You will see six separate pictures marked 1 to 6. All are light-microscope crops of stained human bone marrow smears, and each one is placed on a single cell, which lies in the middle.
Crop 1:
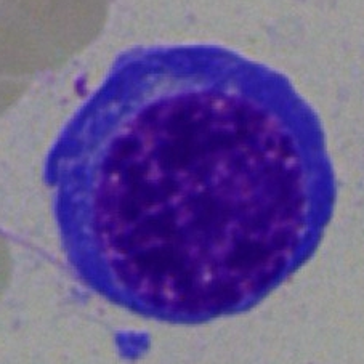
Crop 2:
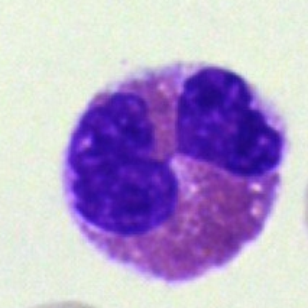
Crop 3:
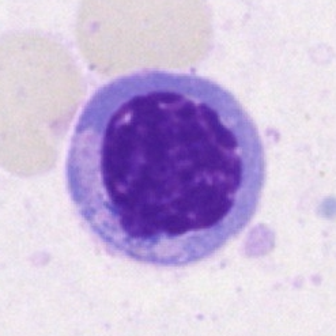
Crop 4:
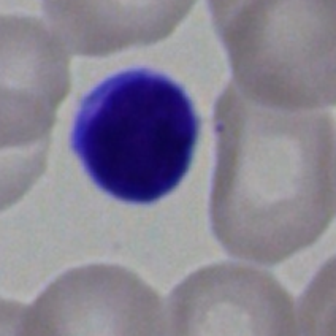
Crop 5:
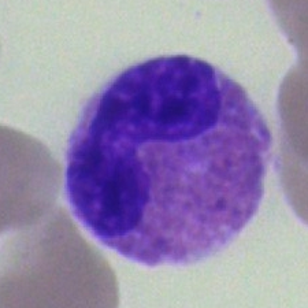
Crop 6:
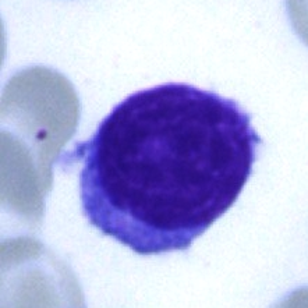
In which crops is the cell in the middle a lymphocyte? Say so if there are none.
4, 6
